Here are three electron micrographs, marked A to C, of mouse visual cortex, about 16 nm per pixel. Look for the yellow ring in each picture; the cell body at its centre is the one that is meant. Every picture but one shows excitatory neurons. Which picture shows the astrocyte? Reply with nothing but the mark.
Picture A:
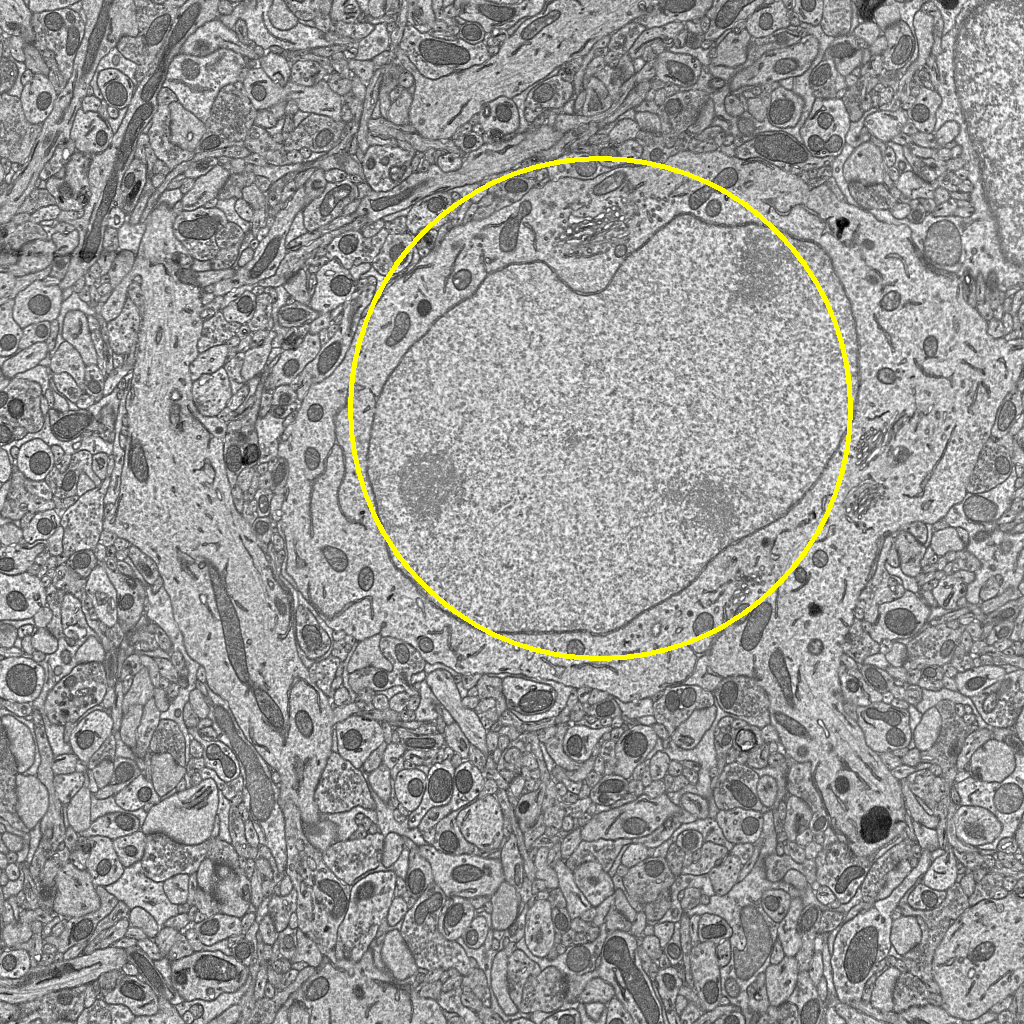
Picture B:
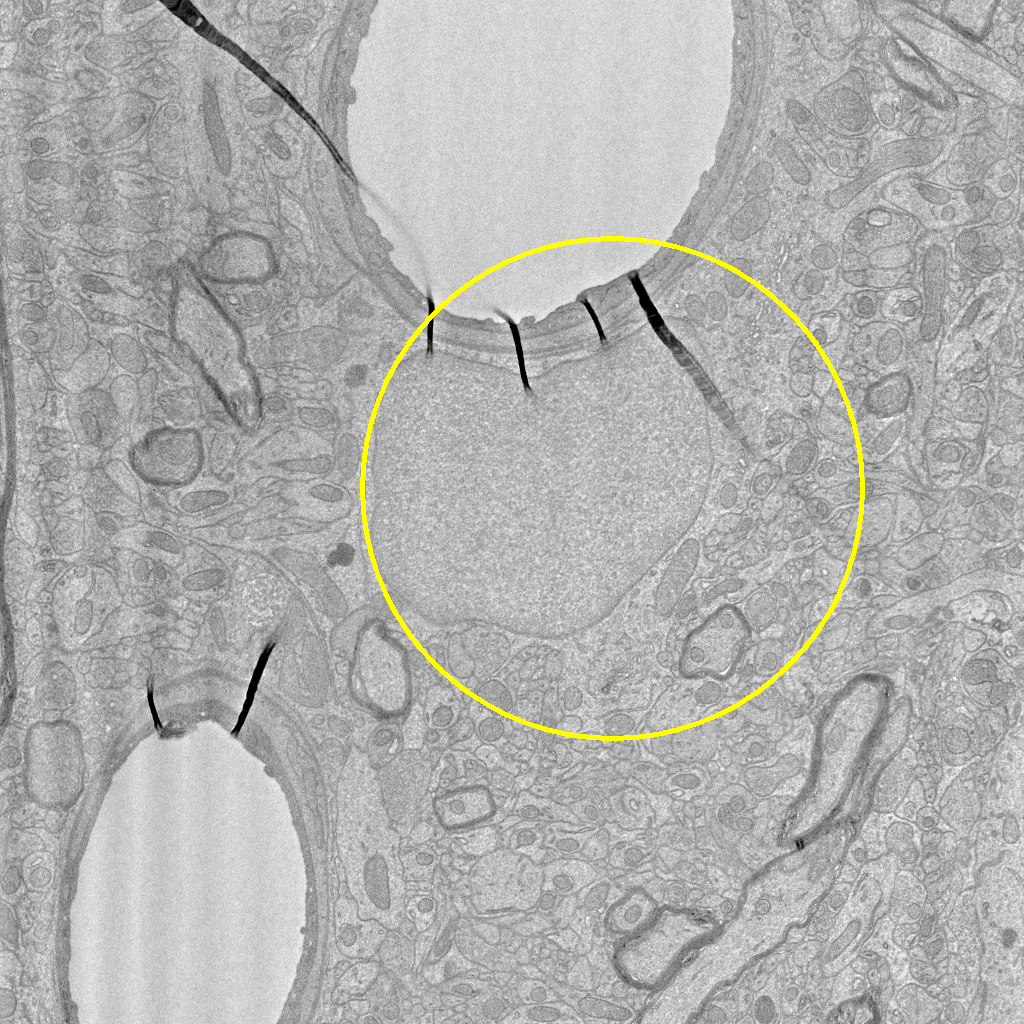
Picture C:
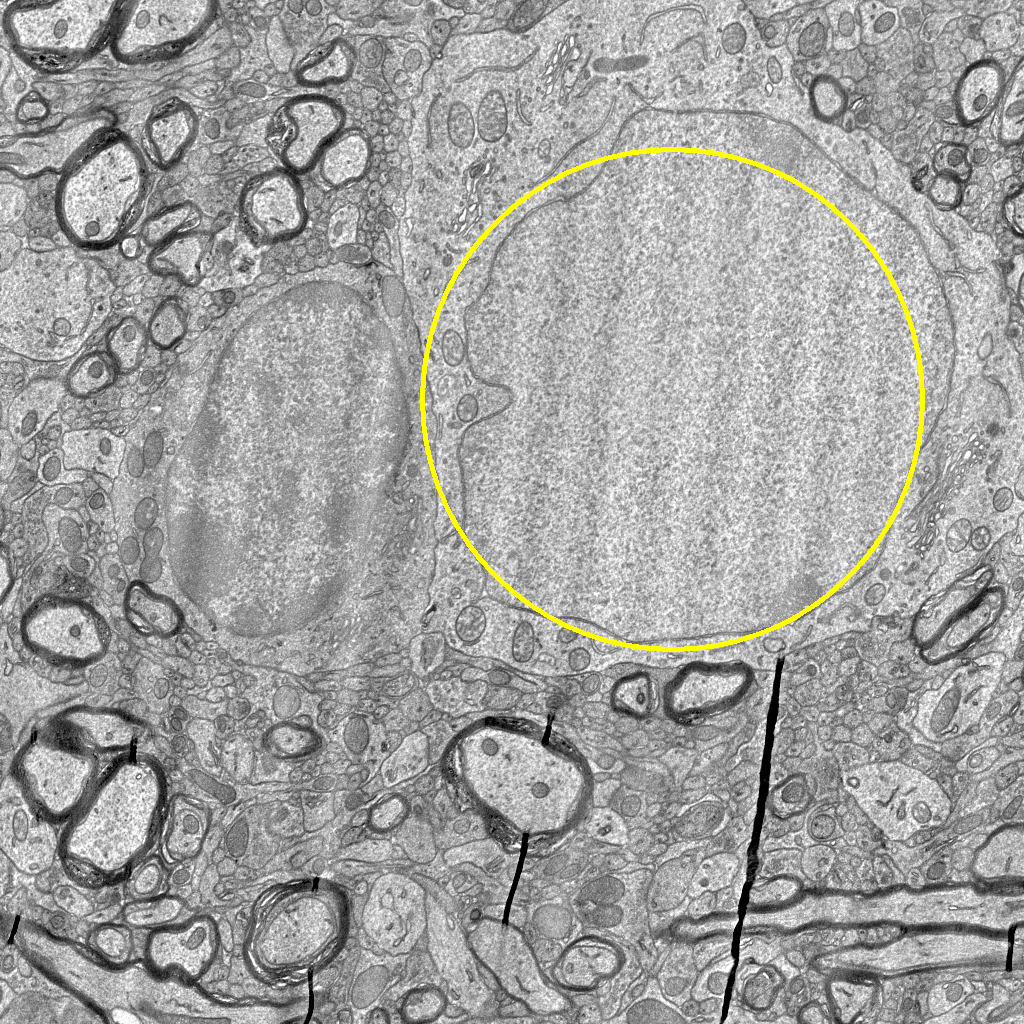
B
